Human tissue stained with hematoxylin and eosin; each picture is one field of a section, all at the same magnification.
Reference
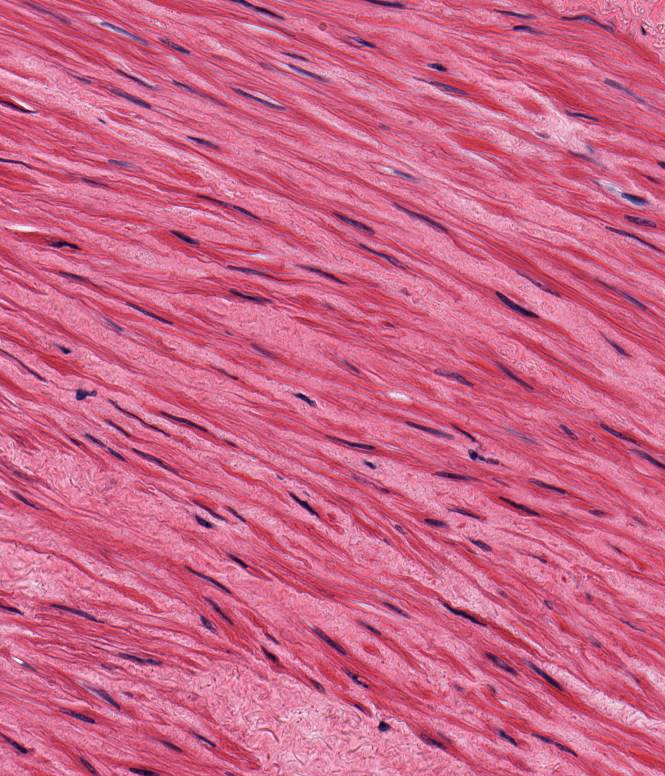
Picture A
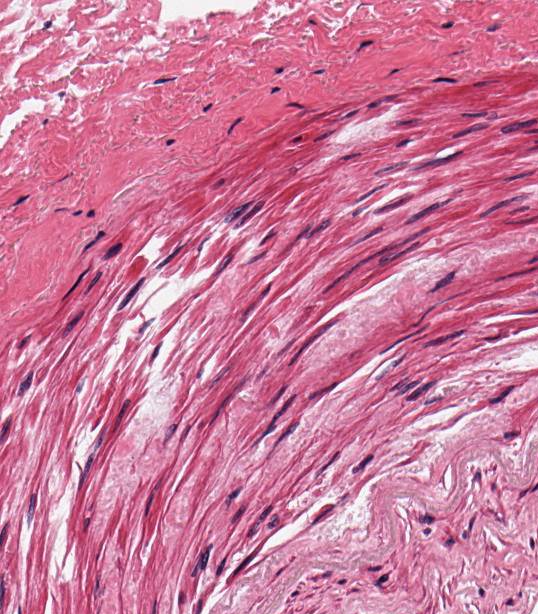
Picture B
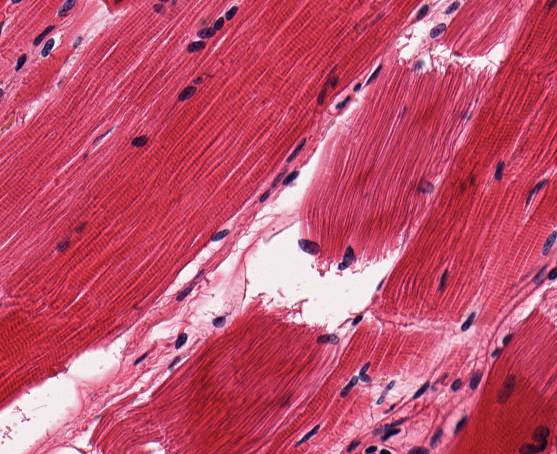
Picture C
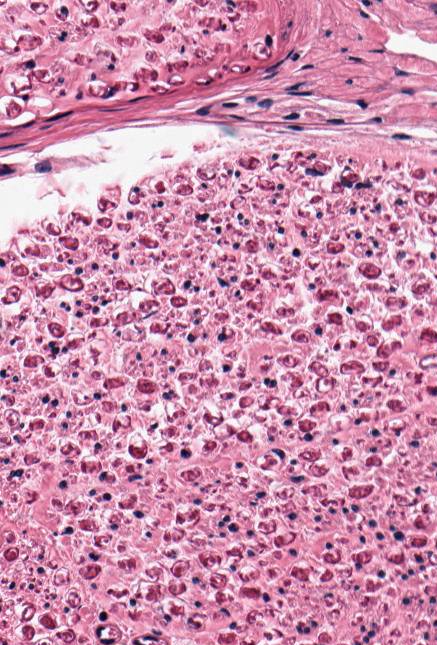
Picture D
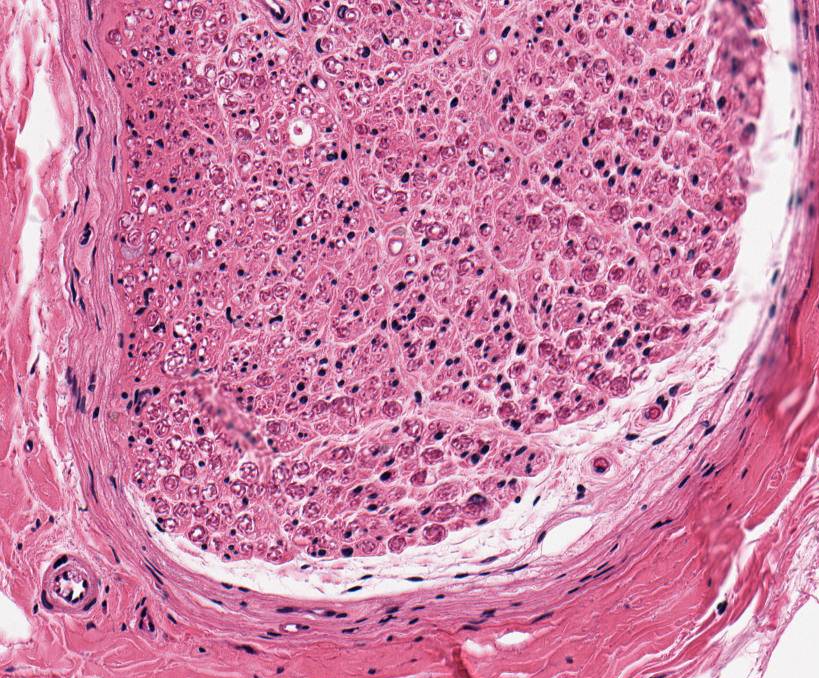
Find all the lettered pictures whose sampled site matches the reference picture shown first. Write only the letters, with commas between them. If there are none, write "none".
A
